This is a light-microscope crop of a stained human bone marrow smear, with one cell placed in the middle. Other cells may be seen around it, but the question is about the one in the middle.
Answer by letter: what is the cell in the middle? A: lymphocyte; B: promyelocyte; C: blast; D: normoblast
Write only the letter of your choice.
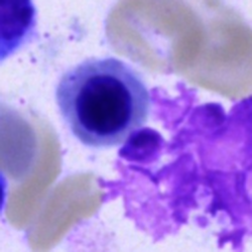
D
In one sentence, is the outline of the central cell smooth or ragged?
Nothing juts out from the margin, which is smooth throughout.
